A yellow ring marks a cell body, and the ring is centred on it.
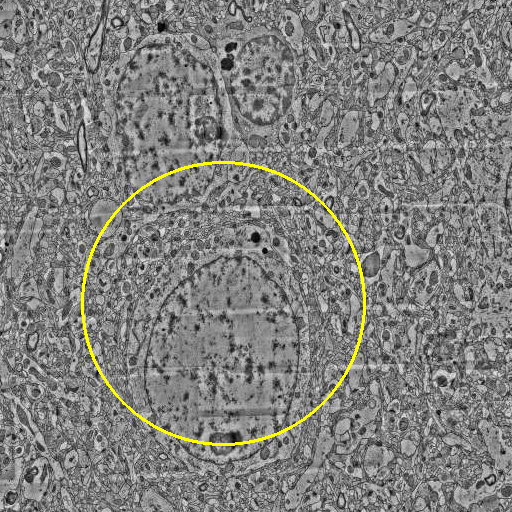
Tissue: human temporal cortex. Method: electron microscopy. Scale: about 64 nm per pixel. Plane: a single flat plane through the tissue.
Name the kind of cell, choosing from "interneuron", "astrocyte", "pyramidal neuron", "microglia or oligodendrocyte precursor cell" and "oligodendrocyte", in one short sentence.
The marked cell body belongs to a pyramidal neuron.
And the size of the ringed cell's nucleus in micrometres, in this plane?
Approximately 13 micrometres long and 10 micrometres wide, in this plane.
